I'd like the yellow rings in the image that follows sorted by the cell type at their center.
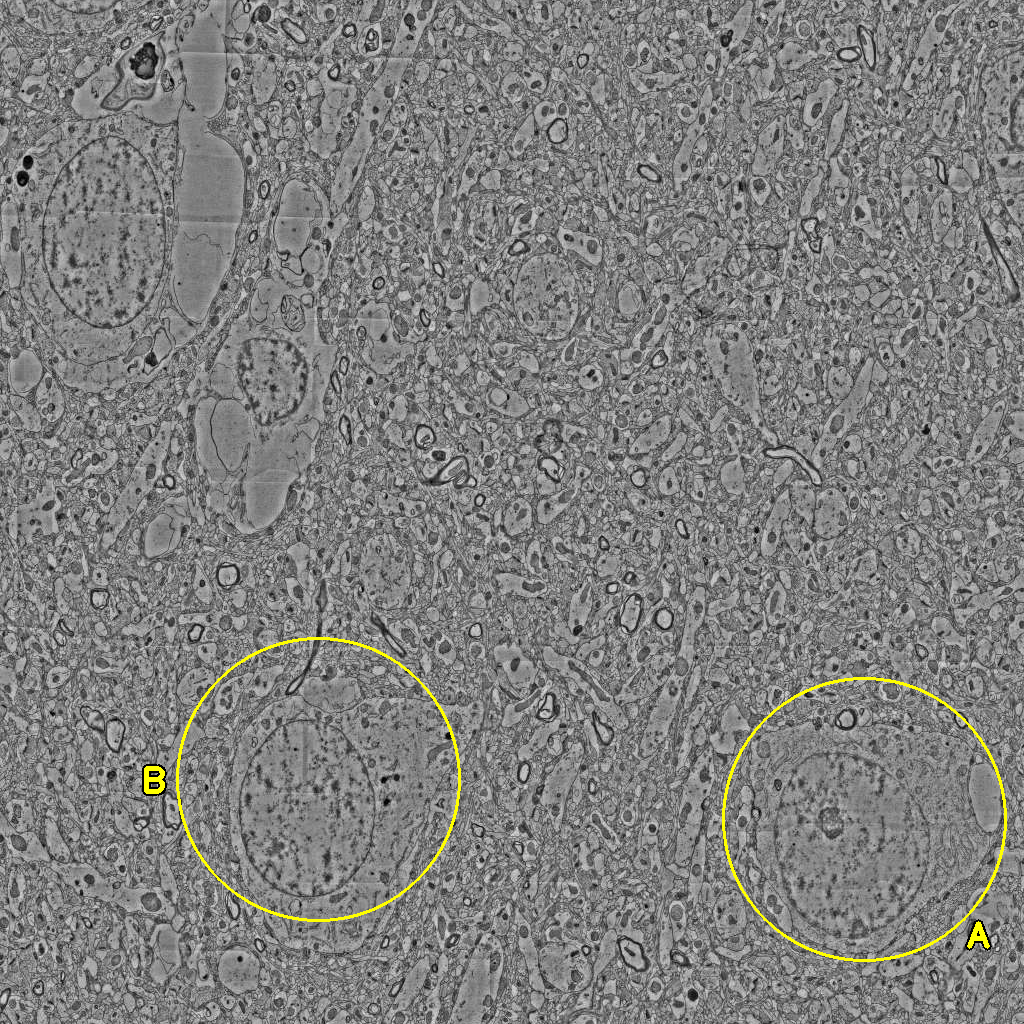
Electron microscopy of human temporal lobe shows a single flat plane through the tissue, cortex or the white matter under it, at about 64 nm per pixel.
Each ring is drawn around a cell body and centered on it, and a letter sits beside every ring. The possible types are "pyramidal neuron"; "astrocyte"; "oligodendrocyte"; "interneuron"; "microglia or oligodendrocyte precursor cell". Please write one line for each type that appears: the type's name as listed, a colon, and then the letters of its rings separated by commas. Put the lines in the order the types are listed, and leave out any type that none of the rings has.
pyramidal neuron: B
interneuron: A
